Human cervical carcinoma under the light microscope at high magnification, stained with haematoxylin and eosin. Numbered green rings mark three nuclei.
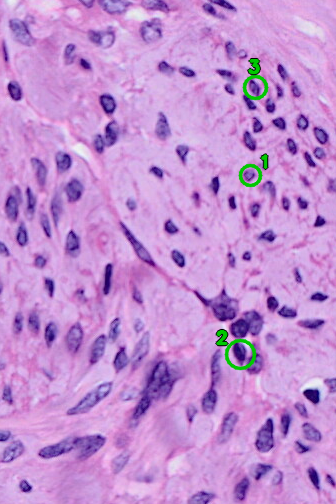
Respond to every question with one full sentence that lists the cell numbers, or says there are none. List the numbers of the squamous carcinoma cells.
The numbered set holds no squamous carcinoma cells whatsoever.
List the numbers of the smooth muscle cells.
The cells that have numbers 1 and 3 are smooth muscle cells.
